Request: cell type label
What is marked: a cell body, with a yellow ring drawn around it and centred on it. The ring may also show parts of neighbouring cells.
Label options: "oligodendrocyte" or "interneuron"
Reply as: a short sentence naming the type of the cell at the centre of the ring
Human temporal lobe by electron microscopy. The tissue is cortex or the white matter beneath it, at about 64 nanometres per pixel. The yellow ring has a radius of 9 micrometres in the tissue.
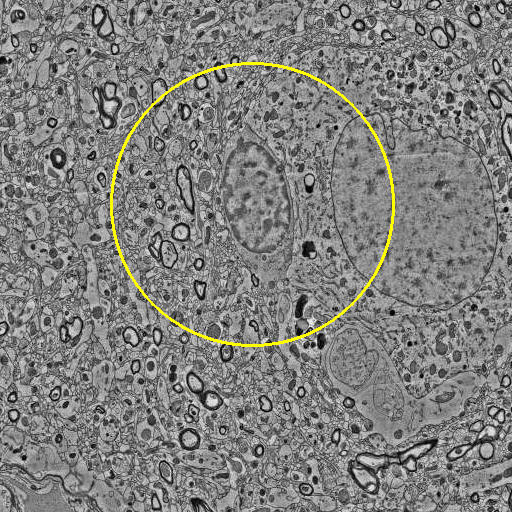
The marked cell body is that of an oligodendrocyte.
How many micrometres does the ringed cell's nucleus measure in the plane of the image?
In this plane, approximately 7 by 4 micrometers.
